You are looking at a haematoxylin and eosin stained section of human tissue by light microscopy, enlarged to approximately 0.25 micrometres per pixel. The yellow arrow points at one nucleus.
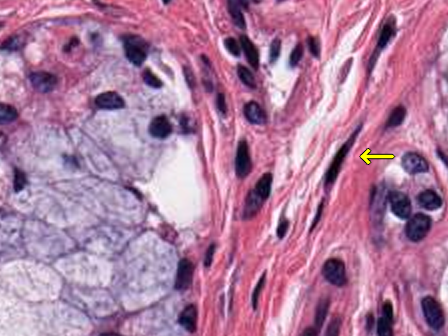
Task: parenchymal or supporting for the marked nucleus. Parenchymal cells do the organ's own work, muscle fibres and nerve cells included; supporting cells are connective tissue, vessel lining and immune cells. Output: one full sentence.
The cell bearing the marked nucleus is a supporting cell.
